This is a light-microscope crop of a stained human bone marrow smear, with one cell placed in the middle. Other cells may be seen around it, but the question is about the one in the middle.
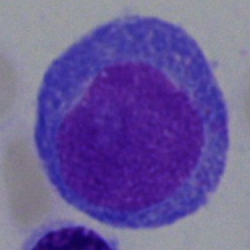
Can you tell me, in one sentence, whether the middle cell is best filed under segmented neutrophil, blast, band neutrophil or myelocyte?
The cell shown in the center of this light-microscope crop is a blast.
